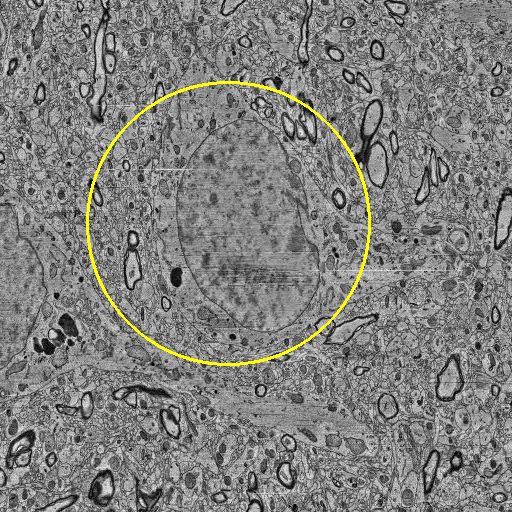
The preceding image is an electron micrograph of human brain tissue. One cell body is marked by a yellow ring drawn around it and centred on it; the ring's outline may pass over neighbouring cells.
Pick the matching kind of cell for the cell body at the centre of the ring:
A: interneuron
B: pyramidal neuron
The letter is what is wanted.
B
